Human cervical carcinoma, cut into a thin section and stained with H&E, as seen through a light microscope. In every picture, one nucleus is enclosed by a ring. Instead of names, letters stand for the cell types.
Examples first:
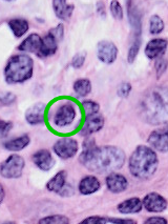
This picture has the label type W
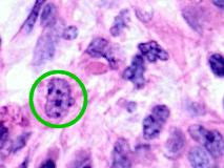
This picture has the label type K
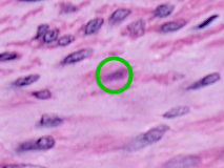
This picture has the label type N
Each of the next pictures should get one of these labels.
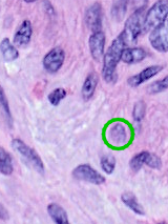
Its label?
type N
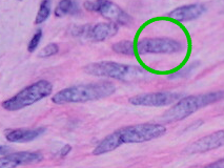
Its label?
type N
